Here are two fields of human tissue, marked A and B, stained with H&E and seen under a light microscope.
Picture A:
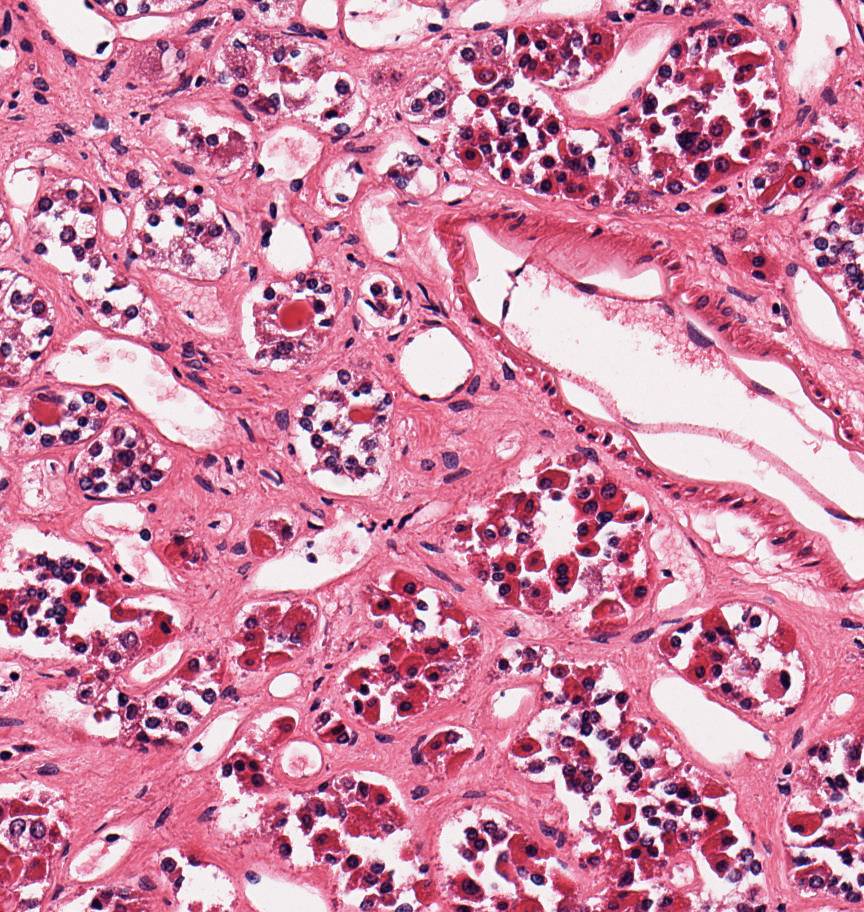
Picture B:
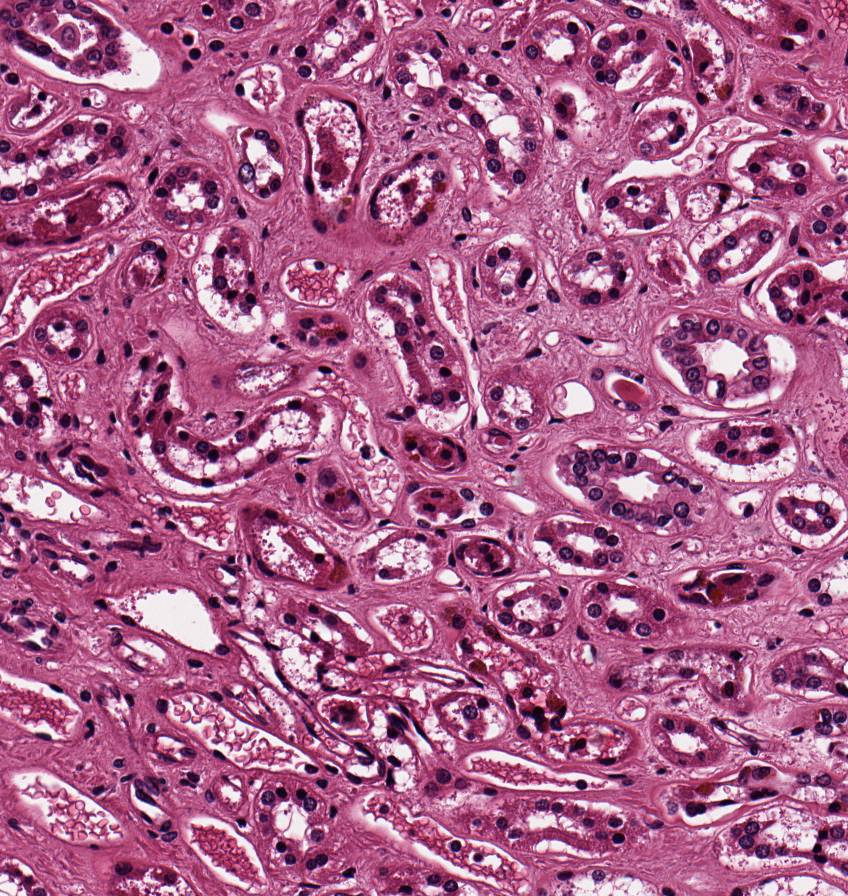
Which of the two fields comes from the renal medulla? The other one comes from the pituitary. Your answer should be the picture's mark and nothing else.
B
